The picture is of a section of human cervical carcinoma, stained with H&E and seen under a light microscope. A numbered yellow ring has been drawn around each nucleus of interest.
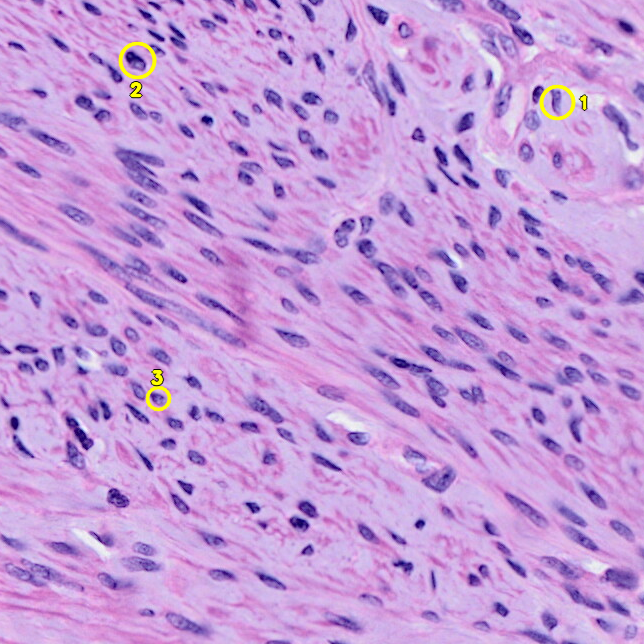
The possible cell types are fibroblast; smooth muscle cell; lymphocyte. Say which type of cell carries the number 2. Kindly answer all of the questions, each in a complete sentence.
The numbered cell 2 in this field is a lymphocyte.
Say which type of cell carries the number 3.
Cell 3 of the marked set is a smooth muscle cell.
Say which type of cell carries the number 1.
The cell that is numbered 1 is a fibroblast.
